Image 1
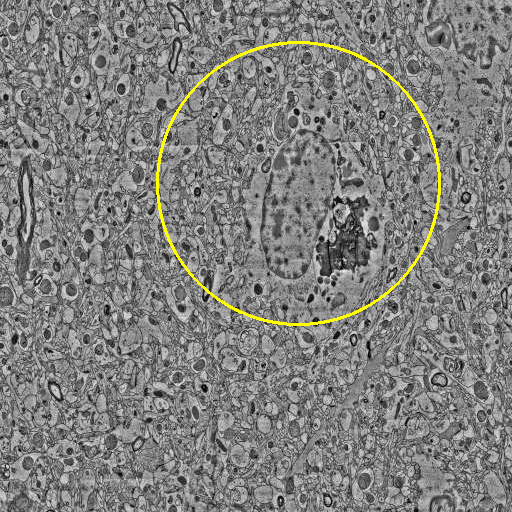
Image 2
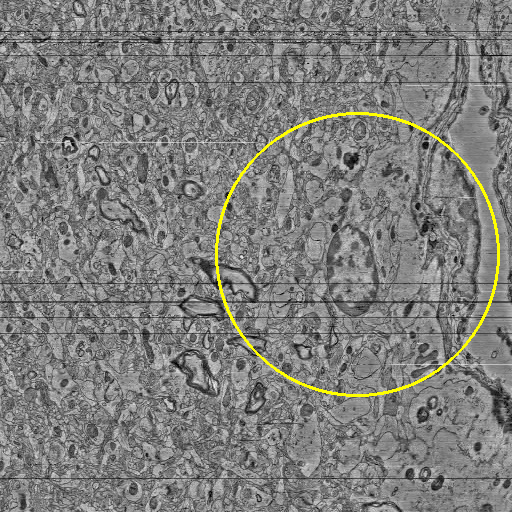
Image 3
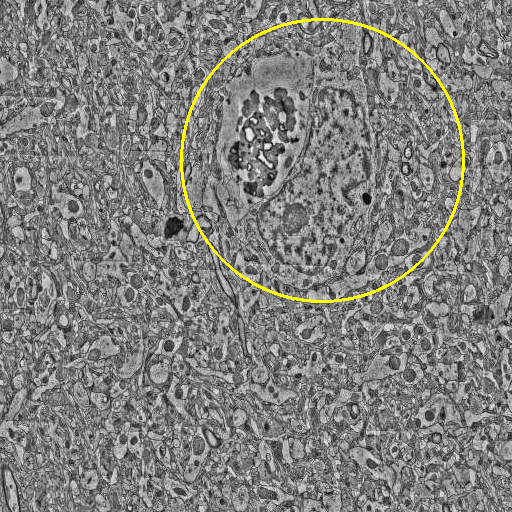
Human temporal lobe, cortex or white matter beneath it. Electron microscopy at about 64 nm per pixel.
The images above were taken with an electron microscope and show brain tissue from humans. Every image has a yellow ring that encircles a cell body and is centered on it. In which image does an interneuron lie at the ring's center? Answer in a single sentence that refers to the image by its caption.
In Image 3, the cell at the center of the yellow ring is the correct match.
